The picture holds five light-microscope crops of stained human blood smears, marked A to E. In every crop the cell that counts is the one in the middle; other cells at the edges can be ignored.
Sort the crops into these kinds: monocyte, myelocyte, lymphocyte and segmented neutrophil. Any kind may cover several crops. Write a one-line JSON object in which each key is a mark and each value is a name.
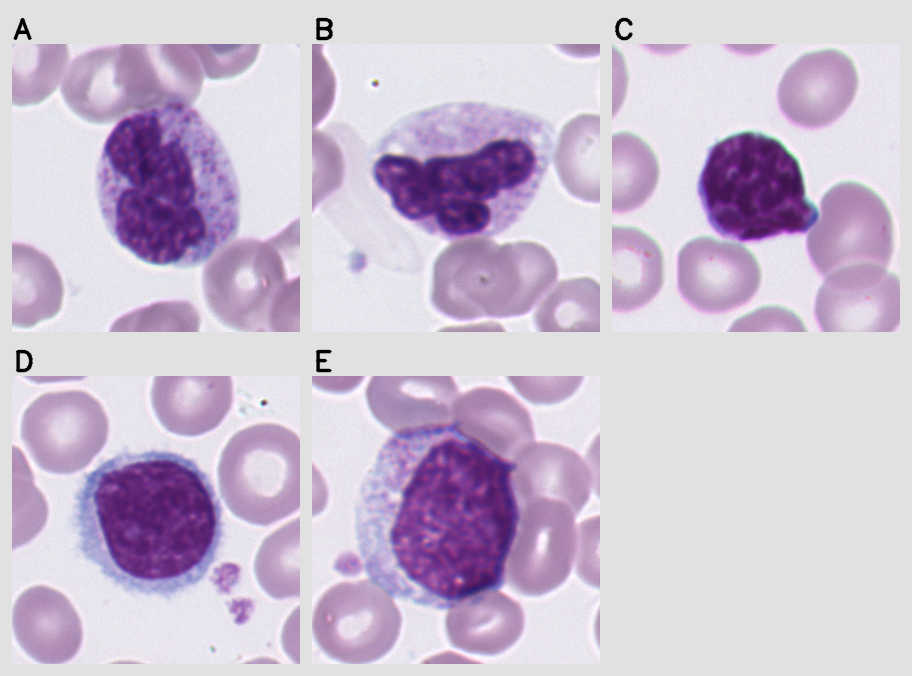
{"A": "segmented neutrophil", "B": "segmented neutrophil", "C": "lymphocyte", "D": "lymphocyte", "E": "myelocyte"}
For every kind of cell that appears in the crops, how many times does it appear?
segmented neutrophil: 2
lymphocyte: 2
myelocyte: 1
